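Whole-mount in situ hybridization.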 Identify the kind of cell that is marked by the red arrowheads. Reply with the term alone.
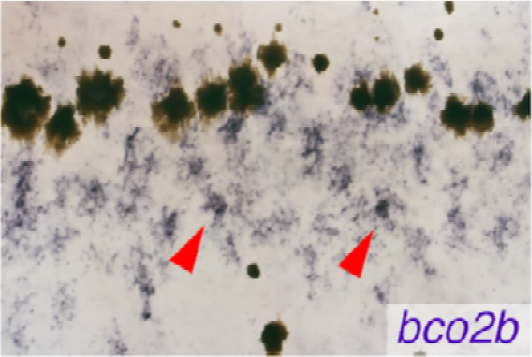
xanthophores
